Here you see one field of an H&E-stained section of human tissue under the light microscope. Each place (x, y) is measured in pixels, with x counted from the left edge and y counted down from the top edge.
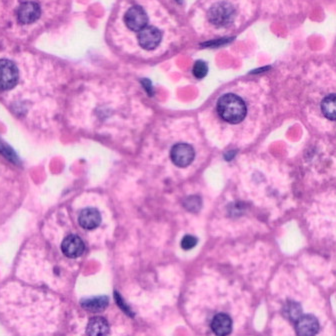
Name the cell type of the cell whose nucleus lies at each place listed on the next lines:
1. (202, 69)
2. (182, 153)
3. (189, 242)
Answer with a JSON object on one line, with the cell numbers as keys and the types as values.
{"1": "lymphocyte", "2": "hepatocyte", "3": "lymphocyte"}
